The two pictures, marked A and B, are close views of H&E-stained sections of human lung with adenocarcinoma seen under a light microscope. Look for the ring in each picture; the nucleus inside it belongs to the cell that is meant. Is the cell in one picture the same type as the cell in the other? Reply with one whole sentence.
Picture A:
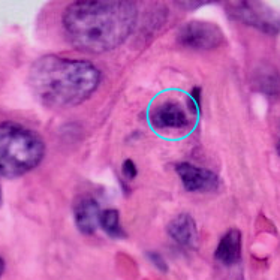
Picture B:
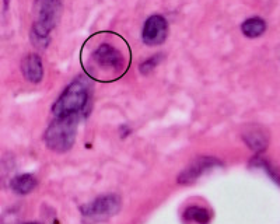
Yes; the cells in both pictures are plasma cells.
